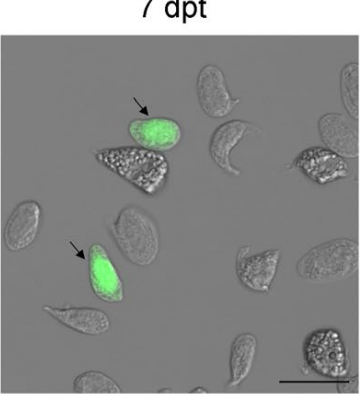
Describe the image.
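Hemocytes are seen, two of which are labelled green; these are oval, smooth-looking cells with little visible granularity, the green fluorescence filling most of the cell. The surrounding unlabelled hemocytes are mostly elongated, spindle-, comma- or teardrop-shaped cells with sparse granules, with a few rounded cells packed with coarse granules among them.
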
